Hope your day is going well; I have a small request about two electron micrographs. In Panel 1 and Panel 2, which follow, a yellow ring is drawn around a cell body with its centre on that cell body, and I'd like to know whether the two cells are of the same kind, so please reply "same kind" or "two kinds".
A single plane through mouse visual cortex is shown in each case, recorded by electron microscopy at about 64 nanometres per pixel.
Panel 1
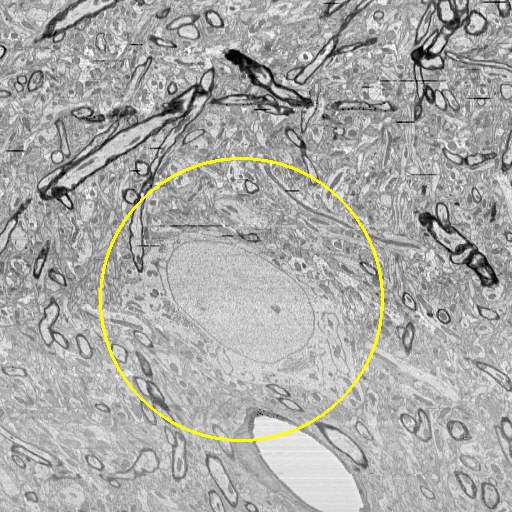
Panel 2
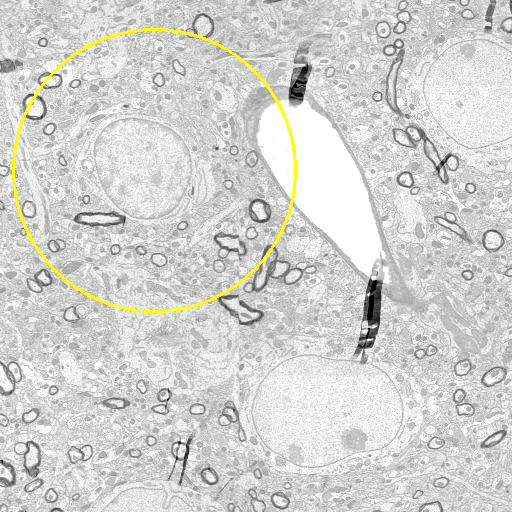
two kinds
